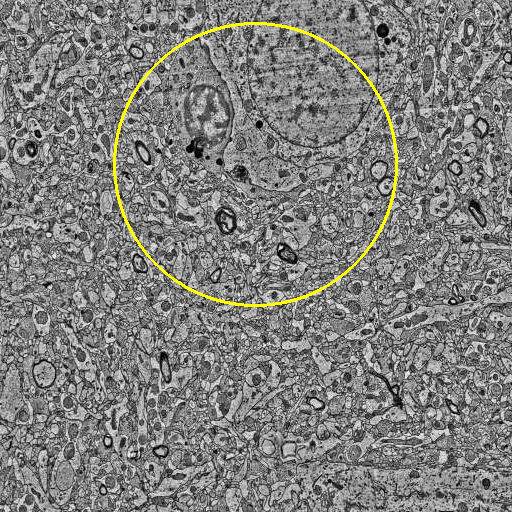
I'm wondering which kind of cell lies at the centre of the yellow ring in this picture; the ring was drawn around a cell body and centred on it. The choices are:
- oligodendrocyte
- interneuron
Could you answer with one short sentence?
At the centre of the ring lies an oligodendrocyte.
